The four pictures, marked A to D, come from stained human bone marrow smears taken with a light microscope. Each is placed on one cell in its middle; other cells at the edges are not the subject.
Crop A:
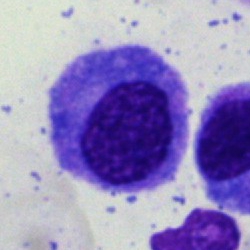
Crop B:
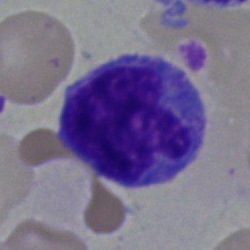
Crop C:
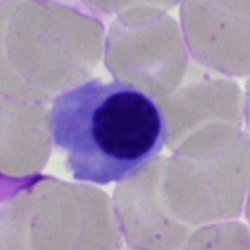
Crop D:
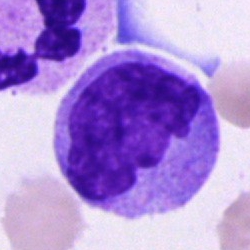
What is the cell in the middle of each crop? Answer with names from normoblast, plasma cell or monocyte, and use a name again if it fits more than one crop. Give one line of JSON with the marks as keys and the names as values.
{"A": "plasma cell", "B": "monocyte", "C": "normoblast", "D": "monocyte"}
